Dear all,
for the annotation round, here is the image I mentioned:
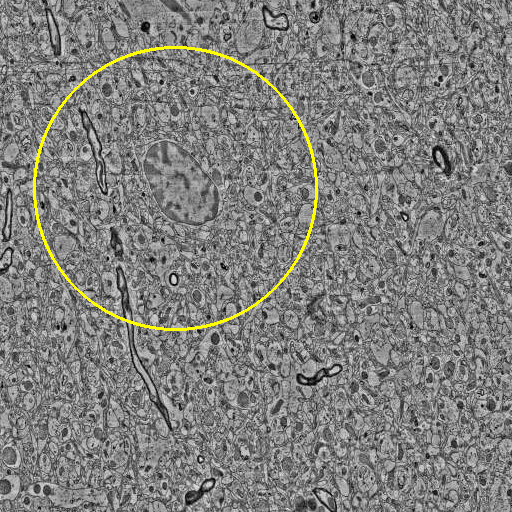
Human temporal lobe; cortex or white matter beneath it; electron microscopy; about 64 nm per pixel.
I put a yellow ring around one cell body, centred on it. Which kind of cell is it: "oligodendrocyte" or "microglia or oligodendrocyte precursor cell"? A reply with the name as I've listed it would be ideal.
microglia or oligodendrocyte precursor cell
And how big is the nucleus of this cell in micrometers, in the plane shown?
In this plane the nucleus is about 6 micrometres by 4.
